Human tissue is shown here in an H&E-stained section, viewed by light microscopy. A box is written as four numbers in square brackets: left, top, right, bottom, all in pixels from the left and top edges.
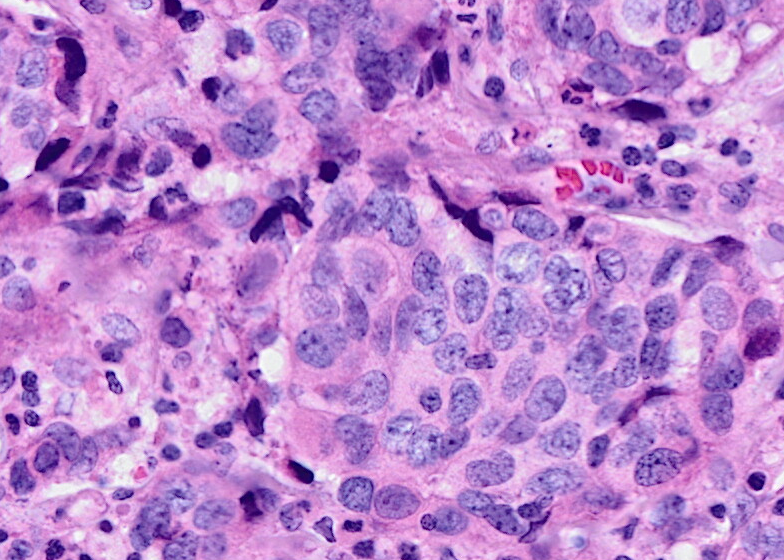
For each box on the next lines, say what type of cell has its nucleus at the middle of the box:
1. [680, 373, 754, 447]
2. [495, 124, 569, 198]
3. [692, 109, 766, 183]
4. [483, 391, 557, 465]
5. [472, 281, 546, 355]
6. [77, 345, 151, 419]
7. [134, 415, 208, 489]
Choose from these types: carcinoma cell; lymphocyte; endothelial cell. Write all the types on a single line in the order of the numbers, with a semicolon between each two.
carcinoma cell; endothelial cell; lymphocyte; carcinoma cell; carcinoma cell; lymphocyte; lymphocyte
